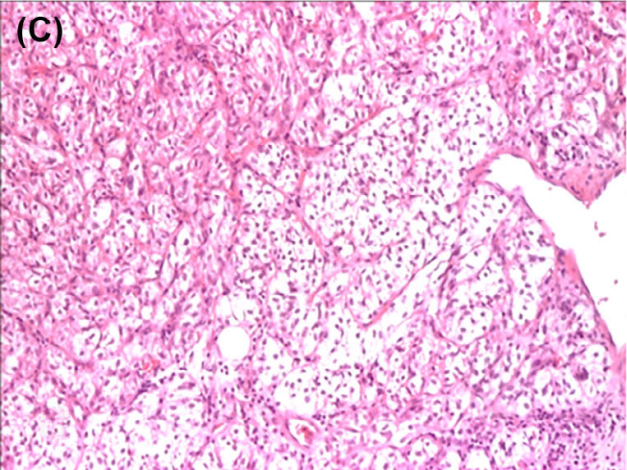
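This field shows an area of tumour made of clear cells arranged in nests. Rounded and polygonal groups of cells are separated by thin pink fibrovascular septa. Within each nest the cells have pale, almost empty-looking cytoplasm and small, dark, oval to elongated nuclei. Toward the edges the cells are more elongated and pinker, blending into more cellular spindle areas.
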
